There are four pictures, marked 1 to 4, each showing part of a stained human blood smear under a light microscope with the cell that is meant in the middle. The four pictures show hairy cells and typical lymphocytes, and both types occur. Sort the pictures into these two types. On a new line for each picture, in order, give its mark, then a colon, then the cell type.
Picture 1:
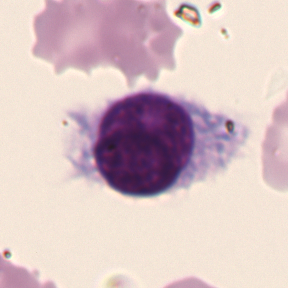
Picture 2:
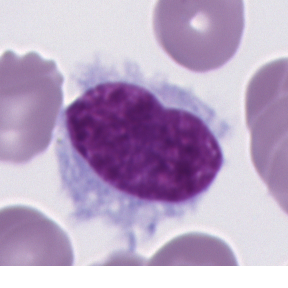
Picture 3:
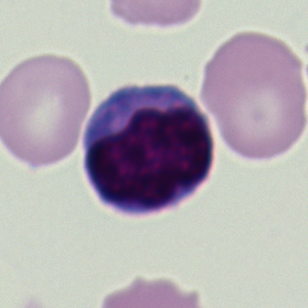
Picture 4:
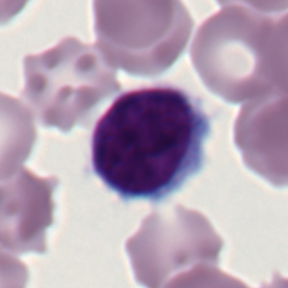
1: hairy cell
2: hairy cell
3: typical lymphocyte
4: hairy cell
